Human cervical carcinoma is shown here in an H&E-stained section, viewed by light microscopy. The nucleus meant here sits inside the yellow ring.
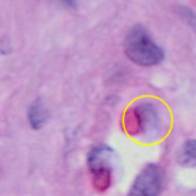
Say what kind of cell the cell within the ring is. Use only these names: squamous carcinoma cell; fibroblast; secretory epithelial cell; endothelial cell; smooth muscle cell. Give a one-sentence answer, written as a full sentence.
The classification of the cell within the ring is as an endothelial cell.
